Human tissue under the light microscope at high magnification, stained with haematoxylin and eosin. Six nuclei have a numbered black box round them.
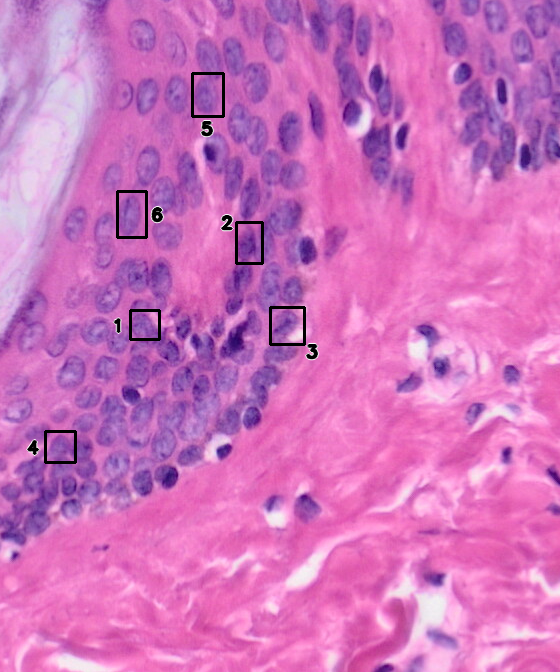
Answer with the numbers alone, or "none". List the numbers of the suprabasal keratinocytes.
5, 6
